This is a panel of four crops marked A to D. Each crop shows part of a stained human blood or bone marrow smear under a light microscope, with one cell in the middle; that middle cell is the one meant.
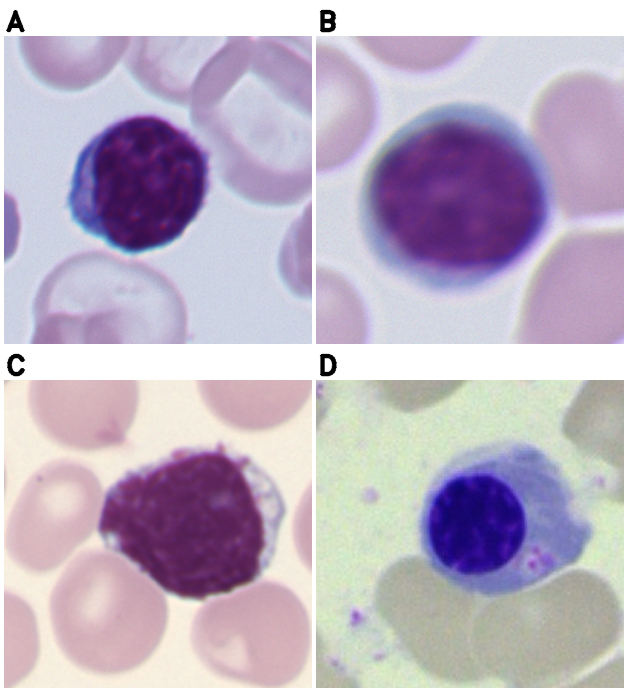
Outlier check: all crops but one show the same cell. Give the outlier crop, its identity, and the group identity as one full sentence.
Crop D differs, its cell being an erythroblast, whereas the other crops show lymphocytes.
